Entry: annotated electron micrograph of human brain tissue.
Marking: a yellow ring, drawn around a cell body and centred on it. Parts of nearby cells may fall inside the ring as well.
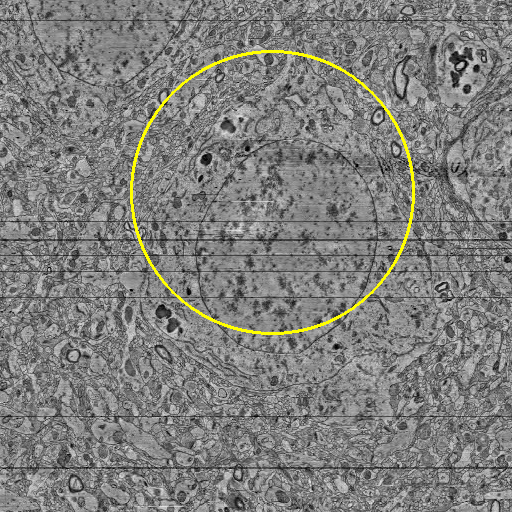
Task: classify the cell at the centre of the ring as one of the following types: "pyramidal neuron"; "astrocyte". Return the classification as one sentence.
The marked cell is classified as a pyramidal neuron.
